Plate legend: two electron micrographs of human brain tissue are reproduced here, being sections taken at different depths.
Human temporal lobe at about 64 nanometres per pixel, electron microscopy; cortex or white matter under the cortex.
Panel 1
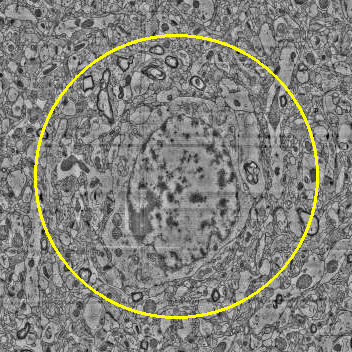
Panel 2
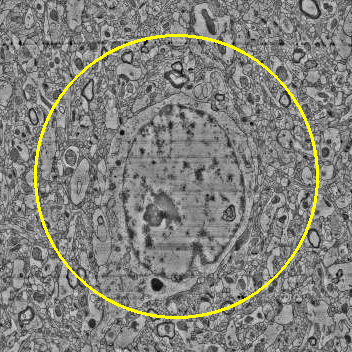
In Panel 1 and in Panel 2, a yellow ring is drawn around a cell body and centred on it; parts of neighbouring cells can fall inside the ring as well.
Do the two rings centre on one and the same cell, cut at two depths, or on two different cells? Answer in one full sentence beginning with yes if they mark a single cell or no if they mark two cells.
Yes, the two rings belong to one cell, not to two.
